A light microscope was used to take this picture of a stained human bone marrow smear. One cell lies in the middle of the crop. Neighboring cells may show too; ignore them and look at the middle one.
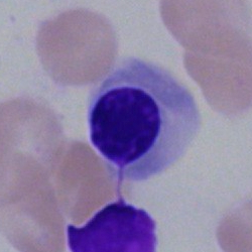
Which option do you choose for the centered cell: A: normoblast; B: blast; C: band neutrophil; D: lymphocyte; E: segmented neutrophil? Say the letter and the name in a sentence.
The cell right in the middle is a normoblast, so option A is the one.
